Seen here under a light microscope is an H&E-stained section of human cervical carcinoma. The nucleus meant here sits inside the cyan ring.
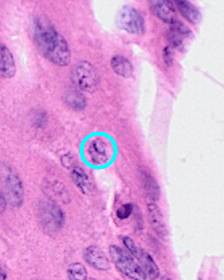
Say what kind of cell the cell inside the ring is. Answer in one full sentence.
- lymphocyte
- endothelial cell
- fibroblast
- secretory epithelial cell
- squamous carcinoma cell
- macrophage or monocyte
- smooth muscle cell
As for its identity, the cell inside the ring is a squamous carcinoma cell.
